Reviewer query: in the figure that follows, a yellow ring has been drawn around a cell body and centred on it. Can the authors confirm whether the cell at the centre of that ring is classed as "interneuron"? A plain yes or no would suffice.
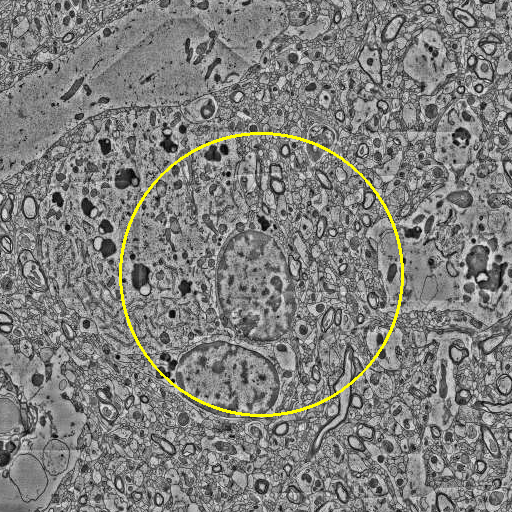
no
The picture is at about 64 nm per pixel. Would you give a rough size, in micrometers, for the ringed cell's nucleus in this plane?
In this plane the nucleus measures roughly 7 by 5 micrometers.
